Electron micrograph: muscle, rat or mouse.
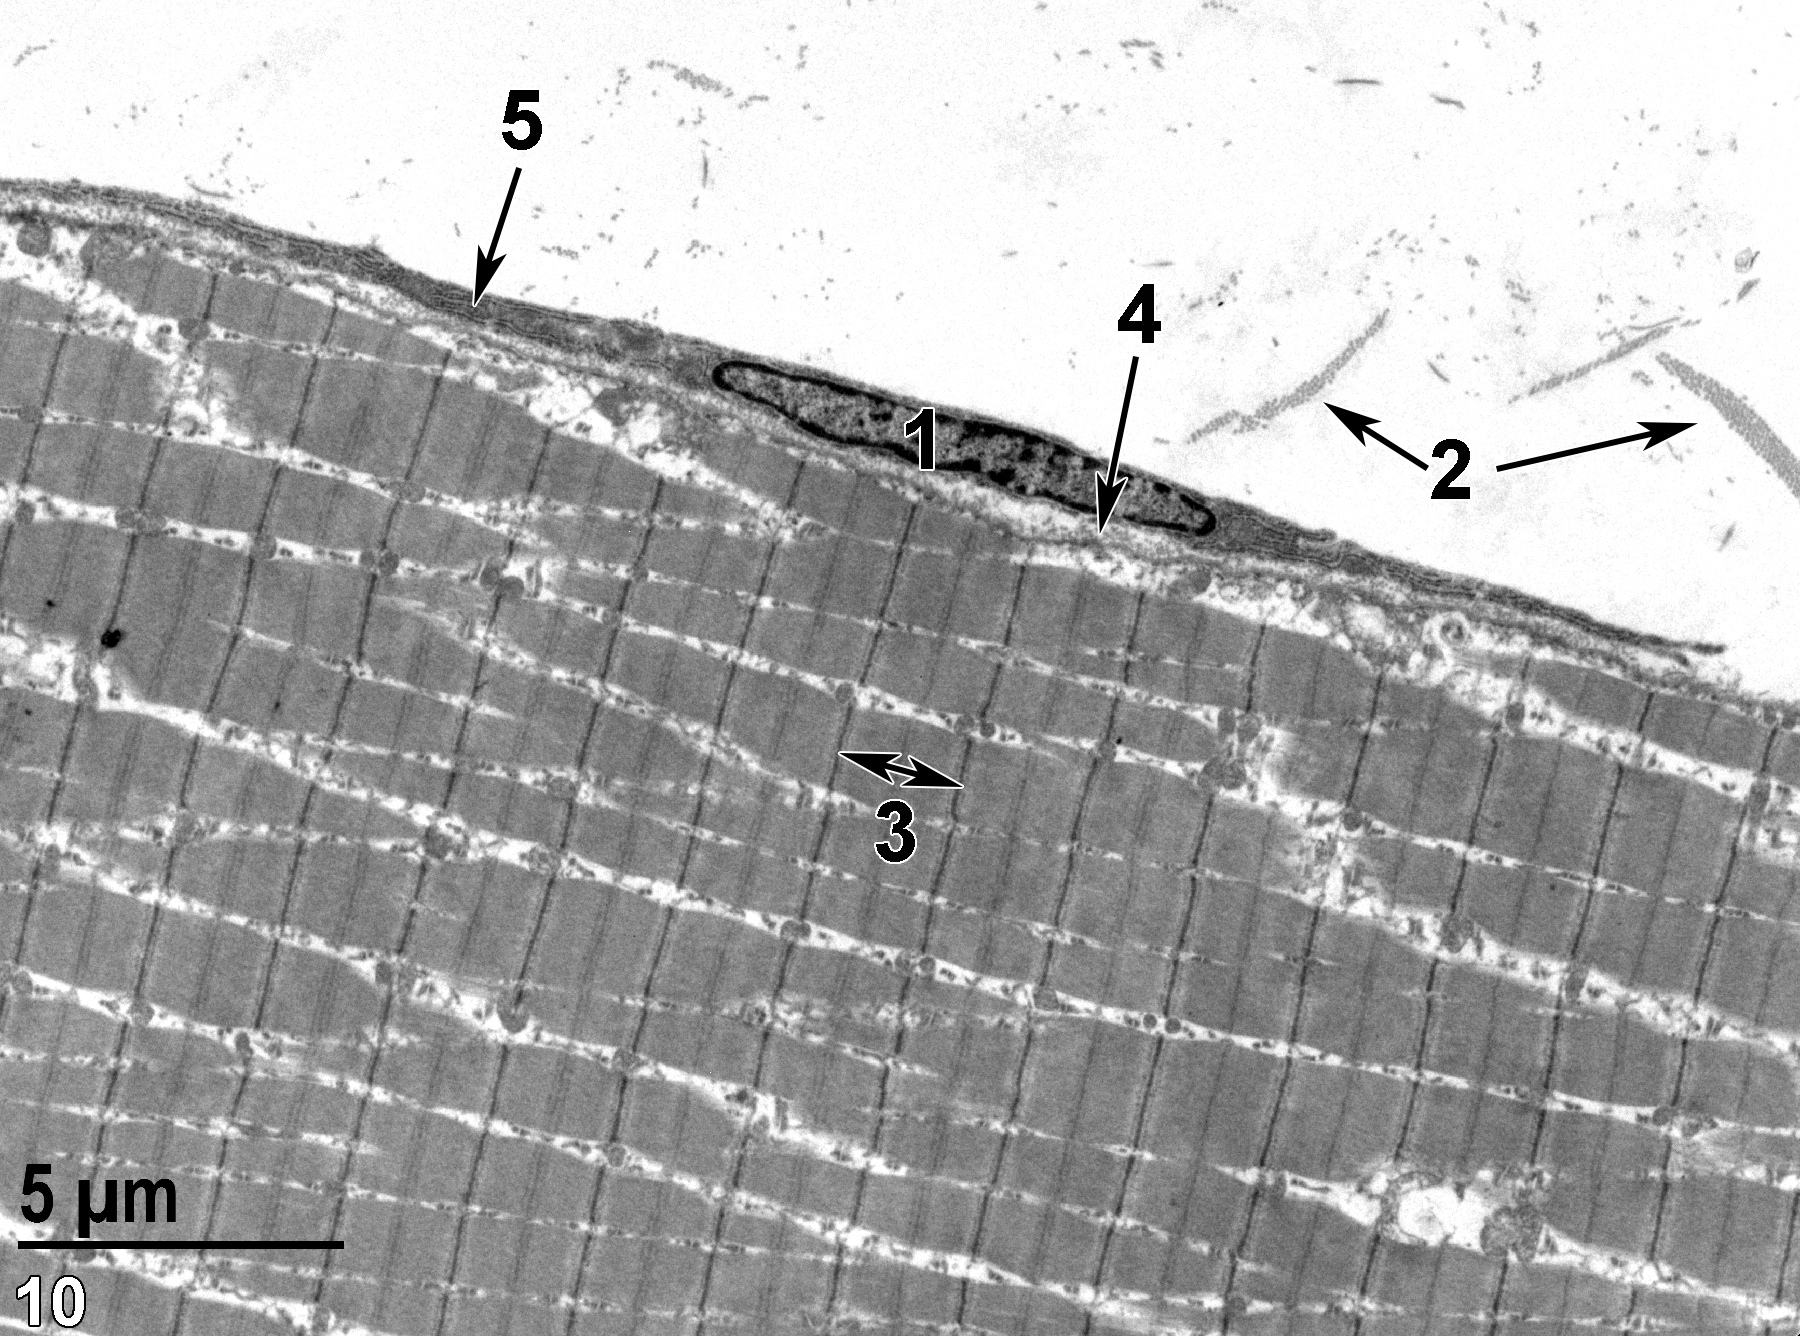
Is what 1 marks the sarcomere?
No, it marks the fibroblast; the sarcomere is at 3.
